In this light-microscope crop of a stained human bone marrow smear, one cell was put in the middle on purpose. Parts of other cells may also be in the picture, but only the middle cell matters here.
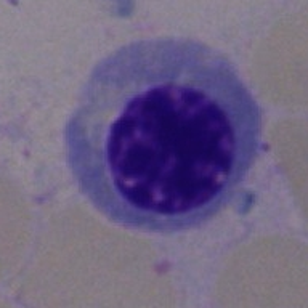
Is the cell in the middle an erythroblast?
yes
